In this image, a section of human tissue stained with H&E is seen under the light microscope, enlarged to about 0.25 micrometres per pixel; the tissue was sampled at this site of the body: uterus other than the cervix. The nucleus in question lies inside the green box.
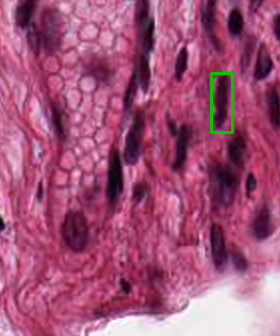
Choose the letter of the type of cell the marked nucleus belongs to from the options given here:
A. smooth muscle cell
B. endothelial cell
A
